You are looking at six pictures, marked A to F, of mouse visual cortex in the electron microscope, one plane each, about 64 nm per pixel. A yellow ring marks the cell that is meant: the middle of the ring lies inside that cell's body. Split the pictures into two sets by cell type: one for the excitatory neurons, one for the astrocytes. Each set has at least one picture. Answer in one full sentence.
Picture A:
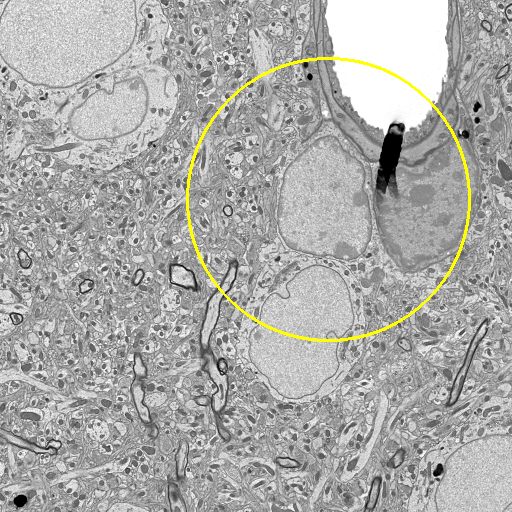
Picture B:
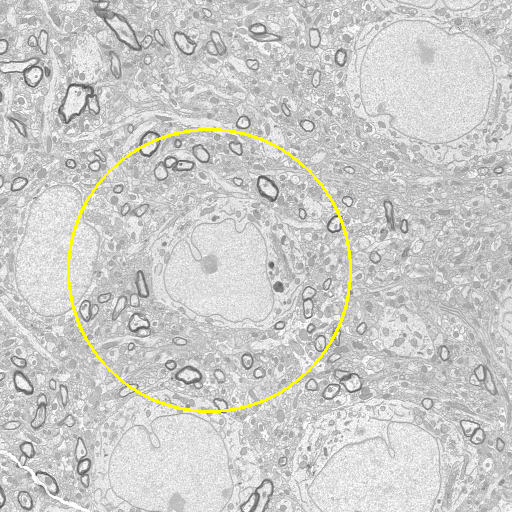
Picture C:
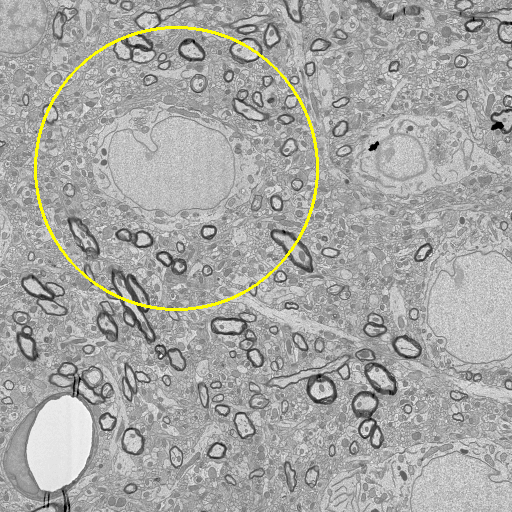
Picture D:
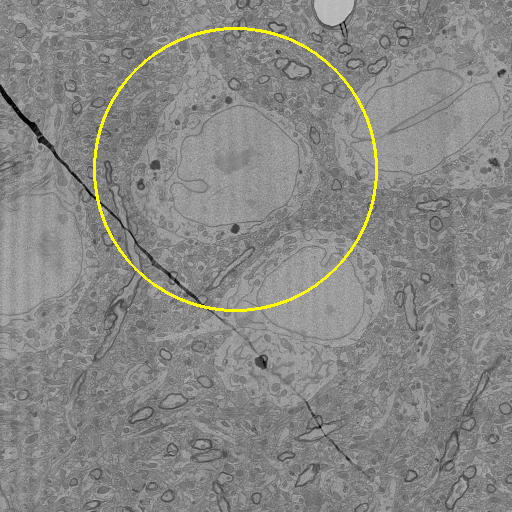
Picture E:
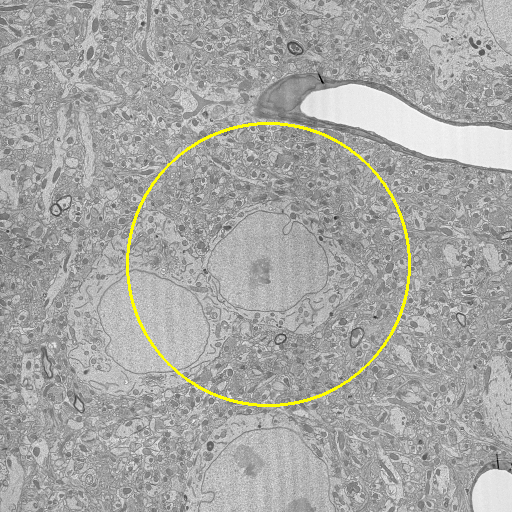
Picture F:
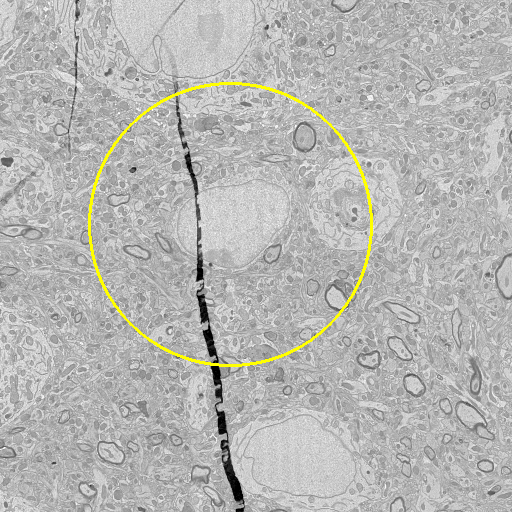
Pictures B, C, D and E show excitatory neurons, and pictures A and F show astrocytes.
